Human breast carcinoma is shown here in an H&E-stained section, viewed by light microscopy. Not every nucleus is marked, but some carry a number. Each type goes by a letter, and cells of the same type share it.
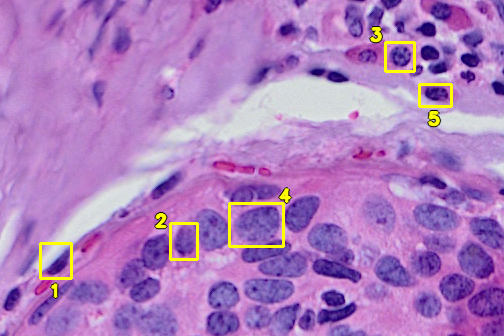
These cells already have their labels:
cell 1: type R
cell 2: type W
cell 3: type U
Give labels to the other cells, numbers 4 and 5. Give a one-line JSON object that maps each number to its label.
{"4": "type W", "5": "type U"}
